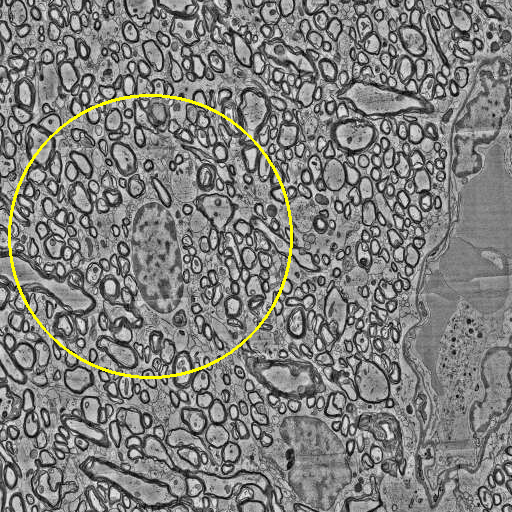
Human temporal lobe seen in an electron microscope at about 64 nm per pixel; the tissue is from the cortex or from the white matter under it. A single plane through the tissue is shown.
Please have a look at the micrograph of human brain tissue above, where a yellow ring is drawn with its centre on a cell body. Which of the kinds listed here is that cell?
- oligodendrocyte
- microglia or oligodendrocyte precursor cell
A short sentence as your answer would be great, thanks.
At the centre of the ring sits a microglial cell or oligodendrocyte precursor cell.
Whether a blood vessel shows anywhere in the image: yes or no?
Yes.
